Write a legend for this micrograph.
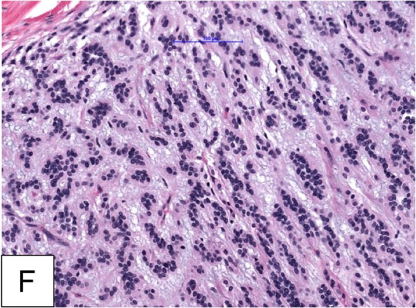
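Tumor of bland ovoid cells in a collagenous to myxoid matrix. Nuclei are small, round to ovoid, uniform and darkly stained, with little variation in size. Cytoplasm is scant and pale, cell borders indistinct. Between the cords the matrix is pale pink to faintly bluish and loose, with a few thin vessels. A band of denser pink collagen touches the upper left corner. No marked nuclear atypia is evident.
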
